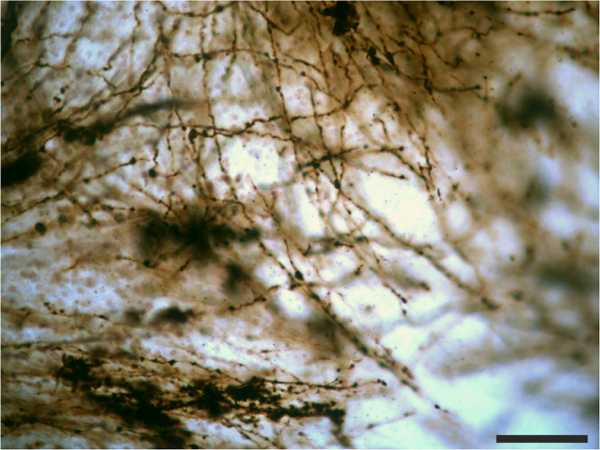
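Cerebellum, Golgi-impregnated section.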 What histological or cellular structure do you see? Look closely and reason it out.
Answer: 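Many thin dark fibres cross one another at various angles. The fibres carry small bead-like swellings along their length. On this evidence: meshwork of varicose fibers running in different directions.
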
